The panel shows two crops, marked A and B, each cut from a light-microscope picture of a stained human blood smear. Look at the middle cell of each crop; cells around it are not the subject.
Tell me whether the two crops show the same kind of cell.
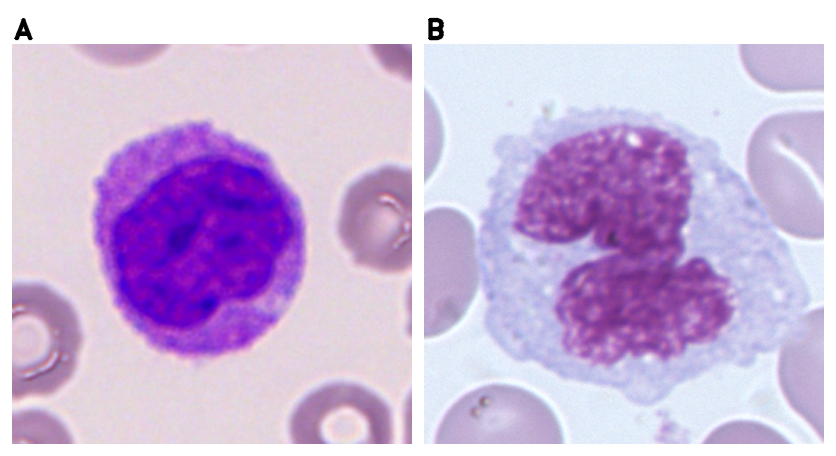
yes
